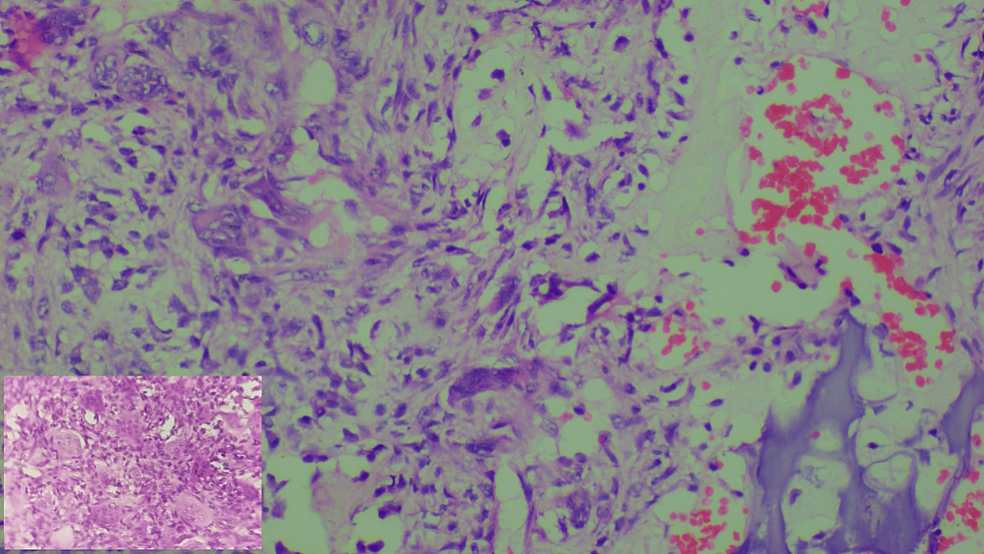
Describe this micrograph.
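This is a giant cell-rich tumour made of multinucleated osteoclast-like giant cells set in a stroma of oval to spindle-shaped cells. The giant cells are large, with pink cytoplasm and many dark nuclei gathered in clusters. They lie scattered among densely packed mononuclear stromal cells, whose nuclei are oval or elongated and darkly stained. At the upper right, wide vascular channels are packed with red blood cells. At the lower right lies a fragment of pale purple-blue bone. The inset, at lower magnification, shows a group of large pink giant cells lying close together.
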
